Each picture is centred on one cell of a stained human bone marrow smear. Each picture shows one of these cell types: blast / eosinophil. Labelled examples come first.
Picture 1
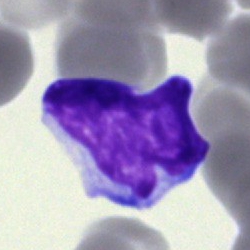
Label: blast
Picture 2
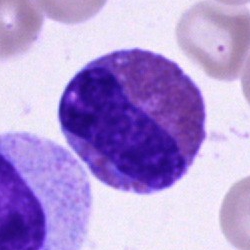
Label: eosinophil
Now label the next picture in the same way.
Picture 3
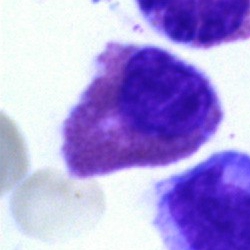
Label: eosinophil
